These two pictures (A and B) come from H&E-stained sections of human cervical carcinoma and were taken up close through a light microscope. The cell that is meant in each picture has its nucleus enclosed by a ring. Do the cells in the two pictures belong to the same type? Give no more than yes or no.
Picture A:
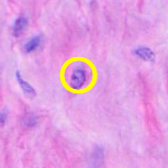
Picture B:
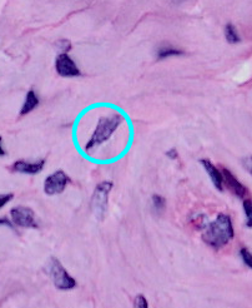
no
